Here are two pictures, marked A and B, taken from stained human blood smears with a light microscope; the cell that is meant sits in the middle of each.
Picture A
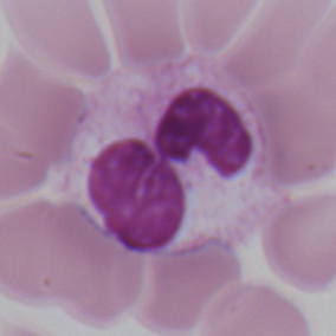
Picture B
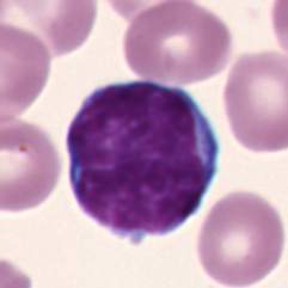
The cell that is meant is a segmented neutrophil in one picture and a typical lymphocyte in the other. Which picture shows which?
A: segmented neutrophil
B: typical lymphocyte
